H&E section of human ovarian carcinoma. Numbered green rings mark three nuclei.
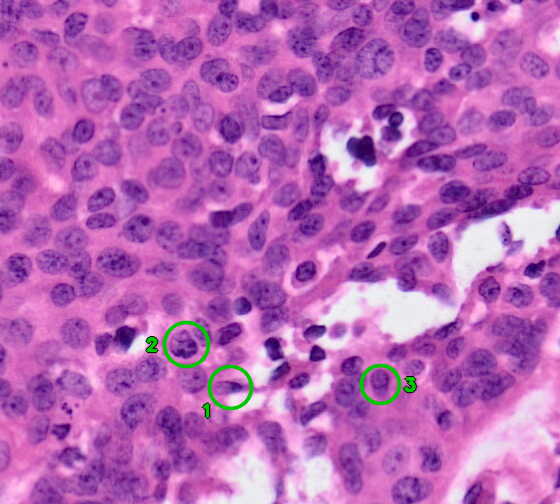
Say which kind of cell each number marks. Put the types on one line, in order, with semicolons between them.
macrophage or monocyte; macrophage or monocyte; carcinoma cell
